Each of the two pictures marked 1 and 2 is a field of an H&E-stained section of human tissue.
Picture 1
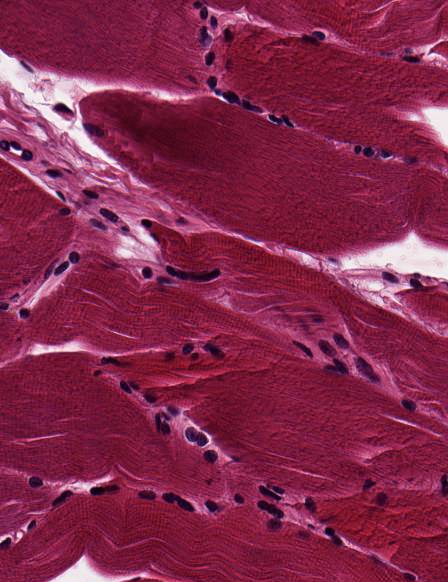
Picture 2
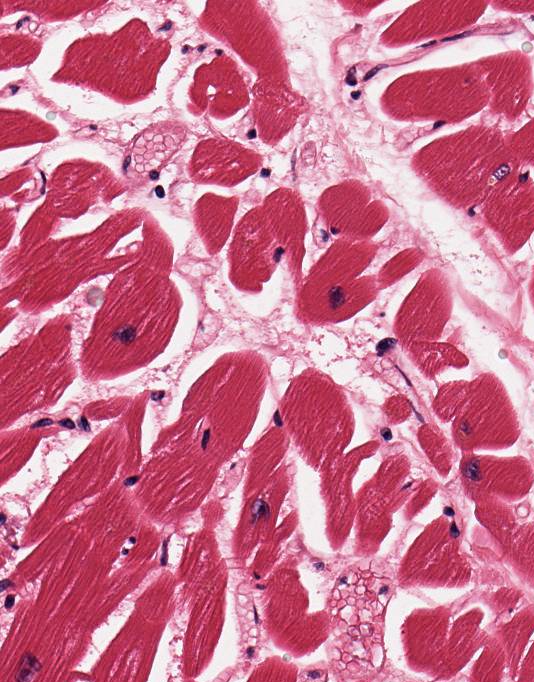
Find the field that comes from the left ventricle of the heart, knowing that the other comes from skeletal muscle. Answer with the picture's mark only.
2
